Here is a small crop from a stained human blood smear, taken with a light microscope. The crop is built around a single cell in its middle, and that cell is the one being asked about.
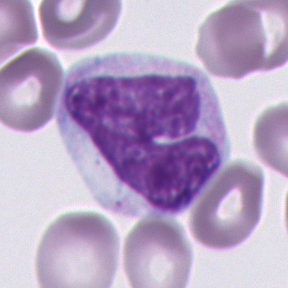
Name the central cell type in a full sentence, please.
In the central position of this crop, the cell is a band neutrophil.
